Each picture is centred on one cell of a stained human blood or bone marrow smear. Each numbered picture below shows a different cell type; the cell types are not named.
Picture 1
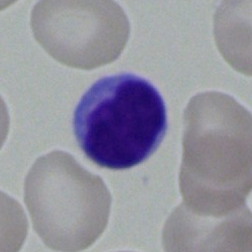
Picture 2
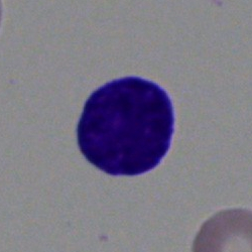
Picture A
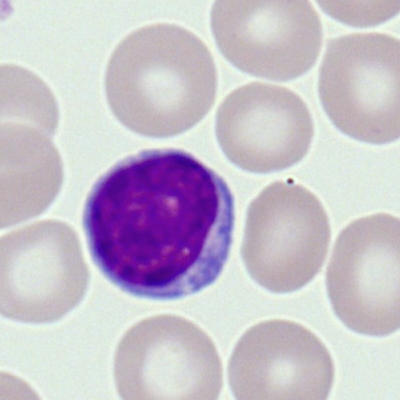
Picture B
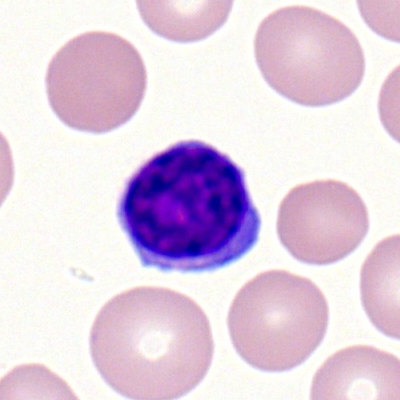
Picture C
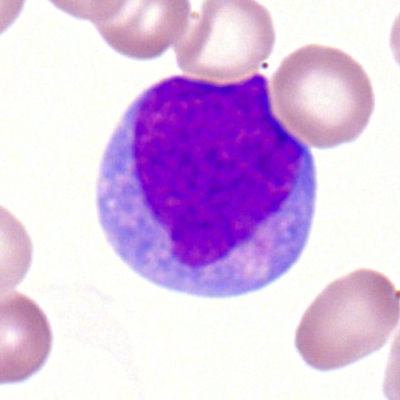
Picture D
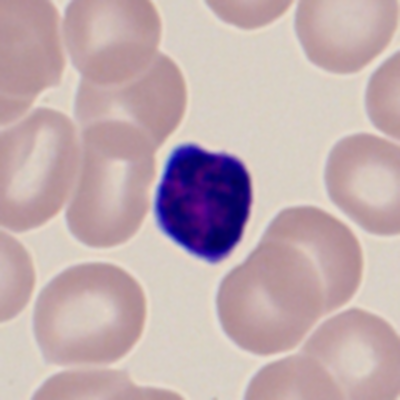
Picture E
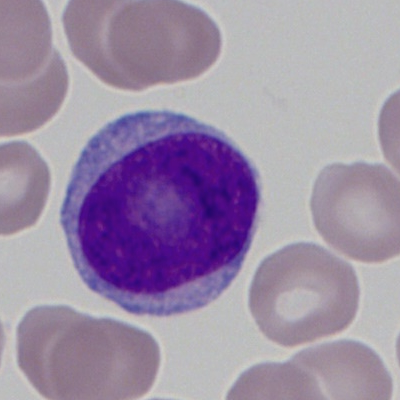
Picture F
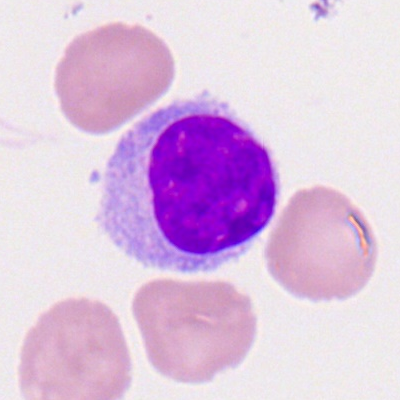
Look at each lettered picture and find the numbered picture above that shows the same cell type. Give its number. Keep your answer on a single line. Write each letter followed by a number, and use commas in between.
A 1, B 1, C 2, D 1, E 2, F 1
